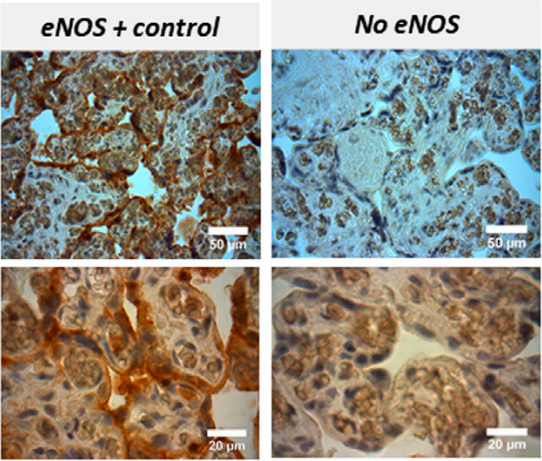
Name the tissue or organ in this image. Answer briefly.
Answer: Placental villi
